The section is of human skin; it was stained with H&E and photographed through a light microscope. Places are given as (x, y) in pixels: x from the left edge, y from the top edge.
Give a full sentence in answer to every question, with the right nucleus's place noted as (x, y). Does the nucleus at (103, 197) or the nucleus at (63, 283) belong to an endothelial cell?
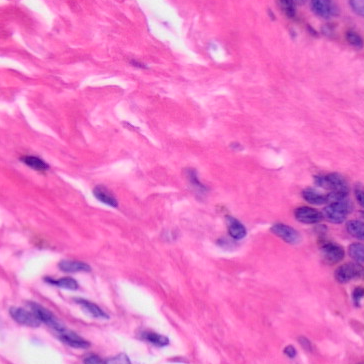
The nucleus at (63, 283) is the one that belongs to an endothelial cell.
